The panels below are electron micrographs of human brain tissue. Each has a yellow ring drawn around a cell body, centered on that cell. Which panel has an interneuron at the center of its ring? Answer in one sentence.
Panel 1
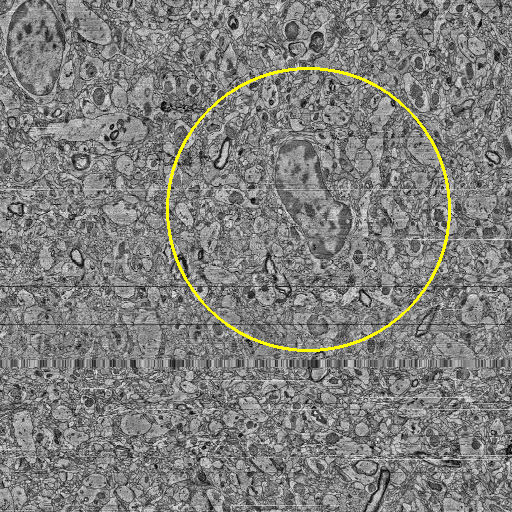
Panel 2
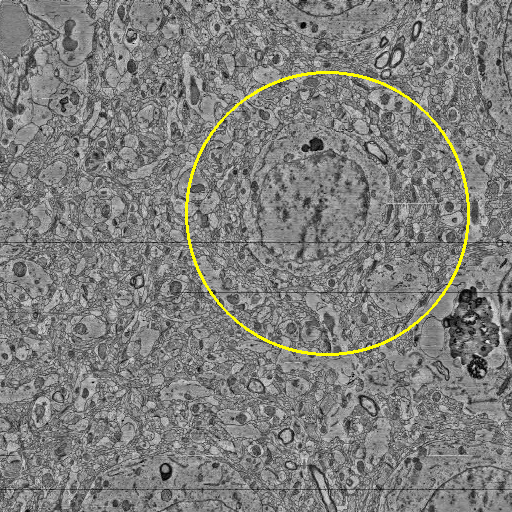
Panel 2 has it at the center of its ring.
